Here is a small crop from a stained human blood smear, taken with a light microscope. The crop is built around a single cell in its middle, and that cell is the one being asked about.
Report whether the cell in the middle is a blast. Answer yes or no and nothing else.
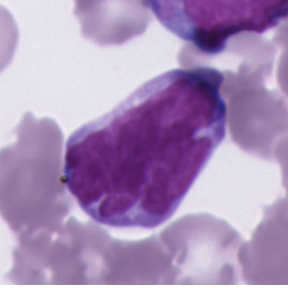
yes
